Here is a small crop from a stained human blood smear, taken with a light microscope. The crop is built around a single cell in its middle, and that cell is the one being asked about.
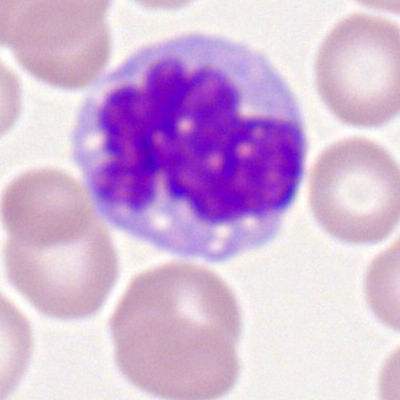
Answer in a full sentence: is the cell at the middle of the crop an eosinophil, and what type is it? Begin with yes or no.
No, the central cell is not an eosinophil, being instead a monocyte.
